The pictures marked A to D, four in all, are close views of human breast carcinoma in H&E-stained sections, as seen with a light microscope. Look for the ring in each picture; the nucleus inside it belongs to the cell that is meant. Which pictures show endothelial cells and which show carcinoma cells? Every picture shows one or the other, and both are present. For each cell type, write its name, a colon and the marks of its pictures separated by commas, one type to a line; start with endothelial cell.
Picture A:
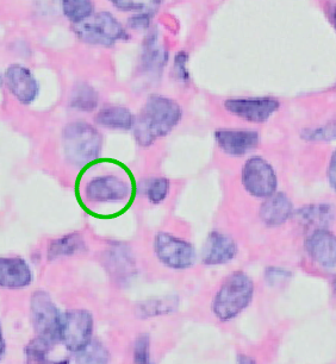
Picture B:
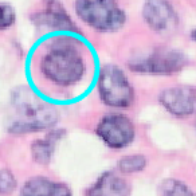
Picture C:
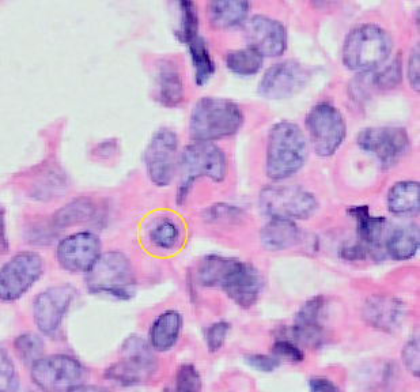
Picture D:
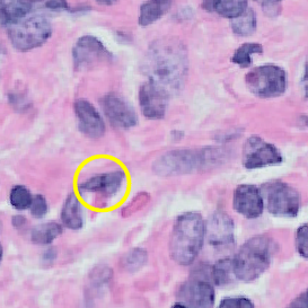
endothelial cell: C, D
carcinoma cell: A, B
